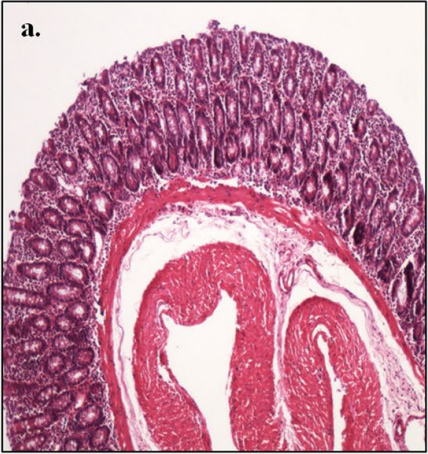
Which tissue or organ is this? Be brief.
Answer: Colon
